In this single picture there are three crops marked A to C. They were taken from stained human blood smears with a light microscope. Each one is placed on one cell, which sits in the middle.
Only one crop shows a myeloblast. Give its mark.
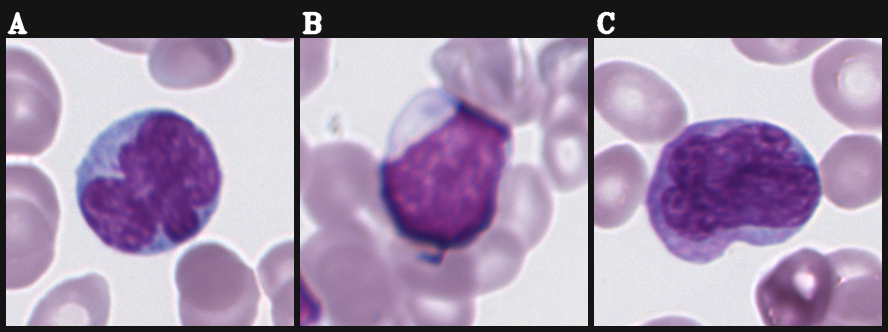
A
